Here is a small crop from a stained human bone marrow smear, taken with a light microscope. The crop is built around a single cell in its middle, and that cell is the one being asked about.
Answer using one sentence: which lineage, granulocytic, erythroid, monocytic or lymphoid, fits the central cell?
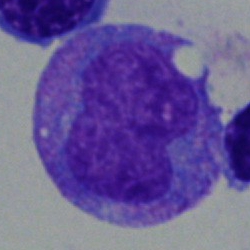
The cell at the center of this crop is from the monocytic lineage.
